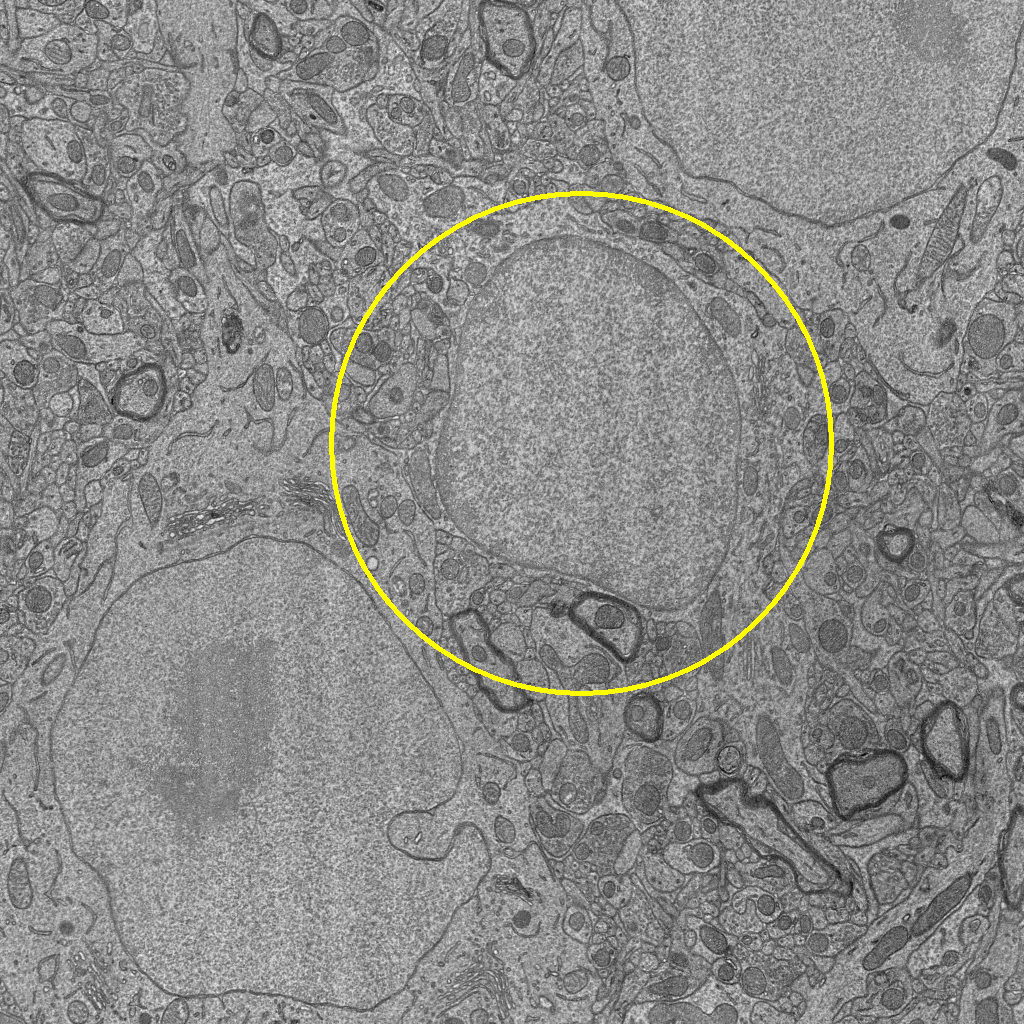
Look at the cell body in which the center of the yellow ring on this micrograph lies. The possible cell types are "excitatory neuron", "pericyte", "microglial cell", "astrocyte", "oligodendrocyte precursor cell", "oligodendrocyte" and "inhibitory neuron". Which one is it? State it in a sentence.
The cell at the middle of the ring is an astrocyte.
